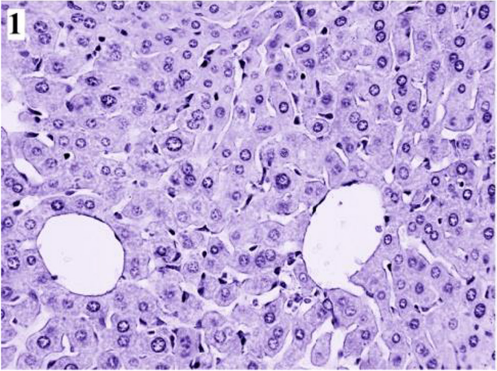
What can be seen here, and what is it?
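This is liver tissue in which two central veins appear as large round empty lumens with thin walls. Narrow sinusoidal spaces separate the plates, and small dark elongated nuclei of lining cells lie along them. The tissue shows a regular, healthy architecture without vacuoles.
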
